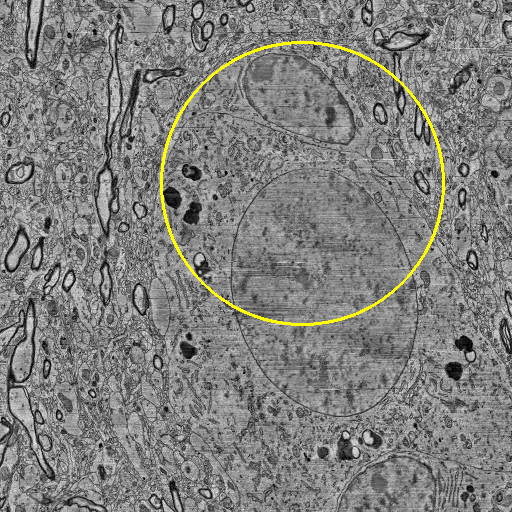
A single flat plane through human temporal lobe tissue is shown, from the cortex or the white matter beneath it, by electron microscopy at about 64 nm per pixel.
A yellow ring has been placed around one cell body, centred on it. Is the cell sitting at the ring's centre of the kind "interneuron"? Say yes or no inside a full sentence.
No, the cell at the centre of the yellow ring belongs to a different kind.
